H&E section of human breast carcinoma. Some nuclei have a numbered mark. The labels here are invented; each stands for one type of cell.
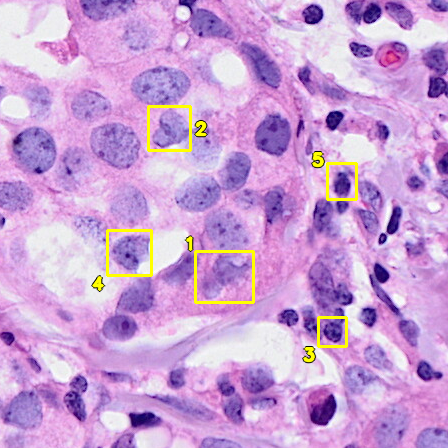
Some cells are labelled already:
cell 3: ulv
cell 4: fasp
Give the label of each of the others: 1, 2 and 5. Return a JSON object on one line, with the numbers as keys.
{"1": "fasp", "2": "fasp", "5": "ulv"}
